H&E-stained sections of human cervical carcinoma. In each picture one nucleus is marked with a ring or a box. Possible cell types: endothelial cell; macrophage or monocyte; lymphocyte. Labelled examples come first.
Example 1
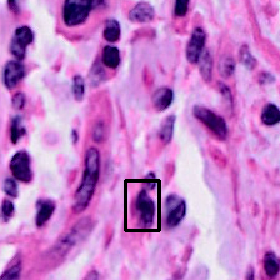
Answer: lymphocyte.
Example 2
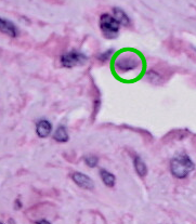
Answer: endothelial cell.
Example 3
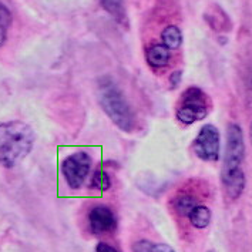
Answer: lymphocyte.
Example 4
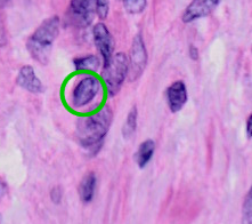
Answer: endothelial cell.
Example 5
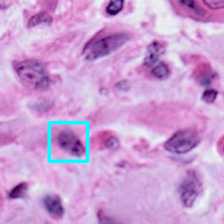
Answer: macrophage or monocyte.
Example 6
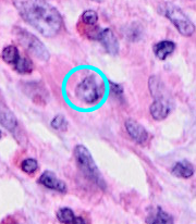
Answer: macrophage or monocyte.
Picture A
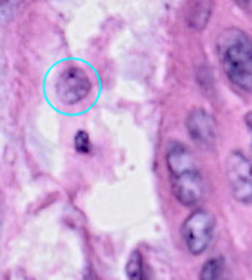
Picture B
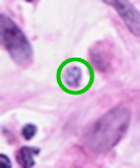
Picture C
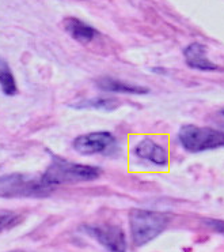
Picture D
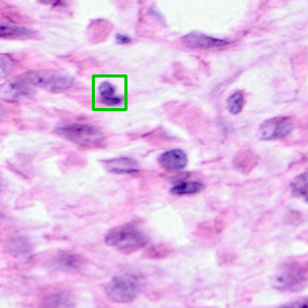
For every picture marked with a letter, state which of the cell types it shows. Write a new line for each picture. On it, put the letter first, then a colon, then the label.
A: macrophage or monocyte.
B: lymphocyte.
C: macrophage or monocyte.
D: lymphocyte.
